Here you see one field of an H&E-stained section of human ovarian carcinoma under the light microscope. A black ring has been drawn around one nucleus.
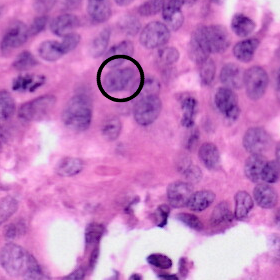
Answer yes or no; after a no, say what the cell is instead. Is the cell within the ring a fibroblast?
No, it is a carcinoma cell.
